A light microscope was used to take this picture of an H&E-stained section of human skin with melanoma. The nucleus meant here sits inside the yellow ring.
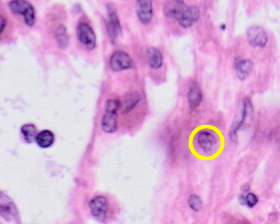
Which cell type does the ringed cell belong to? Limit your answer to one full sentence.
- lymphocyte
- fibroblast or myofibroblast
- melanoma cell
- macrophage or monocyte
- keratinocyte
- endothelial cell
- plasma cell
The correct response here is that the ringed cell is a macrophage or monocyte.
